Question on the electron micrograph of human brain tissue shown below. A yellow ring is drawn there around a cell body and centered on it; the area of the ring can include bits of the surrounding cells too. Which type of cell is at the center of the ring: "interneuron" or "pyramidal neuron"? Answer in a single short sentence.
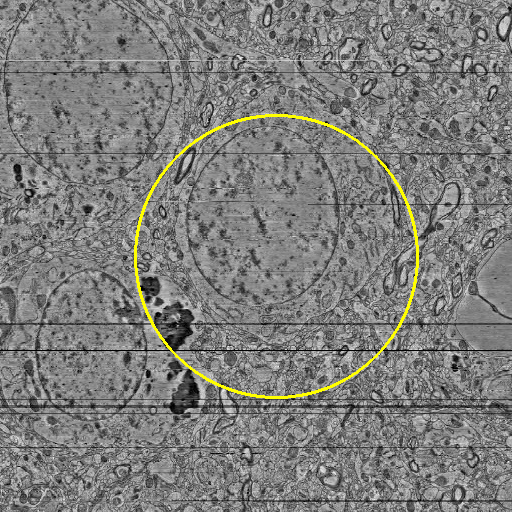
The ring is centered on a pyramidal neuron.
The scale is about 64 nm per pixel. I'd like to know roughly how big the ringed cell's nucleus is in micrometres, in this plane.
About 13 micrometres by about 10 micrometres in this plane.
